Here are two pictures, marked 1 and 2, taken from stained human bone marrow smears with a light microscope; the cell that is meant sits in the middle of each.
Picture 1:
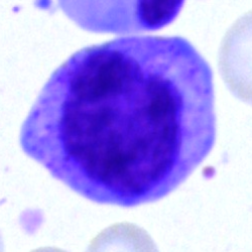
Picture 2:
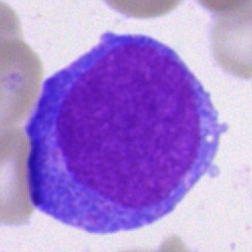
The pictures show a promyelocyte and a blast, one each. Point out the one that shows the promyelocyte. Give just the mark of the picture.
1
